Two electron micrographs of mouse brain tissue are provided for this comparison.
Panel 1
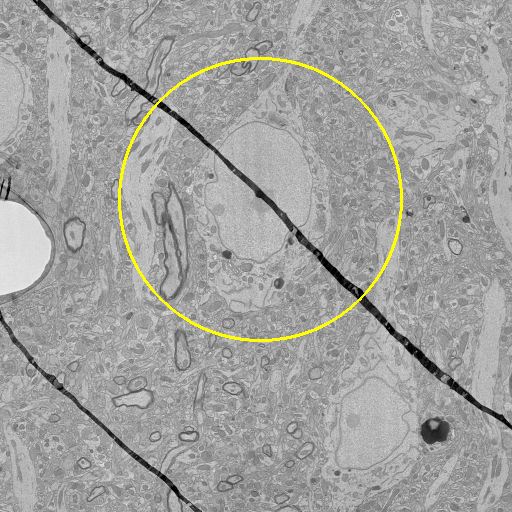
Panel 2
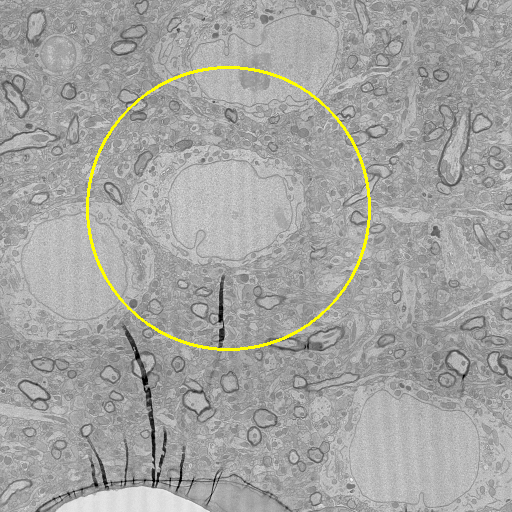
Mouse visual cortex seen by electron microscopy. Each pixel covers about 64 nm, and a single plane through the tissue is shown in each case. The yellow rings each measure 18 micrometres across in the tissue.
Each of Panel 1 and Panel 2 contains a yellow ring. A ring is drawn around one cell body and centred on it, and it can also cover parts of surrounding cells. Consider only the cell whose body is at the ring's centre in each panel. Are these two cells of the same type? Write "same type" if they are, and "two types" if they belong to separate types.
same type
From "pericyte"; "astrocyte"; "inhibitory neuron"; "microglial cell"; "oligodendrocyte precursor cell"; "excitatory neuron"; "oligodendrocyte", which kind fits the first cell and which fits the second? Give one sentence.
Each of the two pictures has an excitatory neuron at the ring centre.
